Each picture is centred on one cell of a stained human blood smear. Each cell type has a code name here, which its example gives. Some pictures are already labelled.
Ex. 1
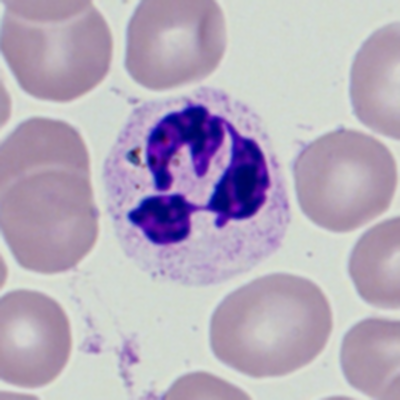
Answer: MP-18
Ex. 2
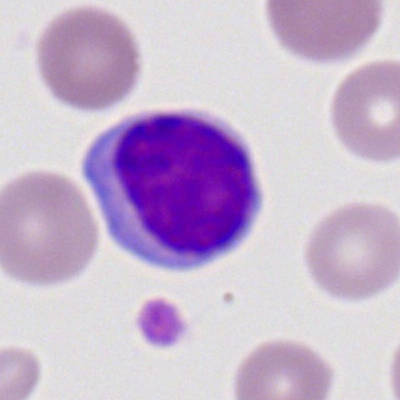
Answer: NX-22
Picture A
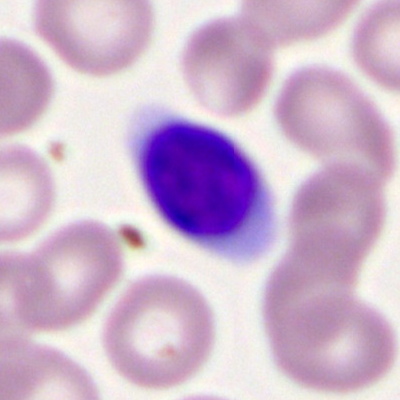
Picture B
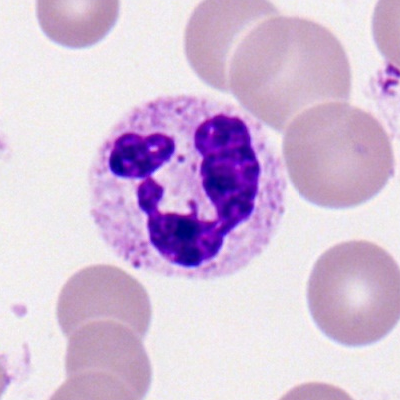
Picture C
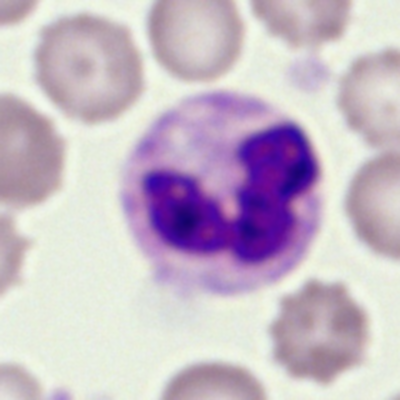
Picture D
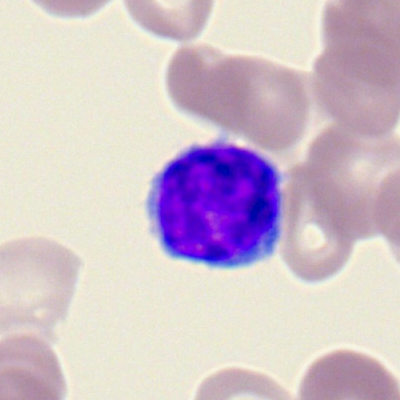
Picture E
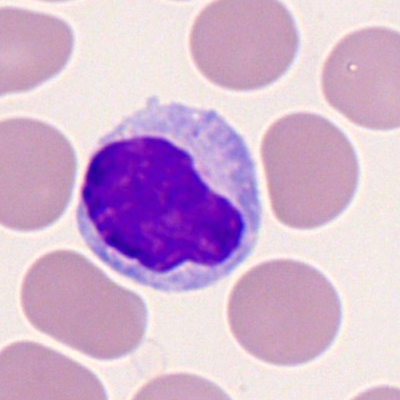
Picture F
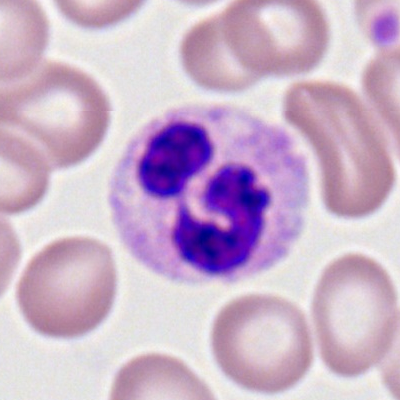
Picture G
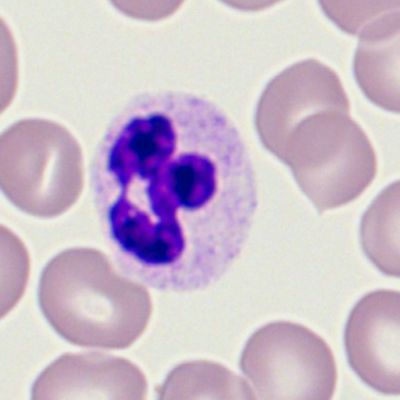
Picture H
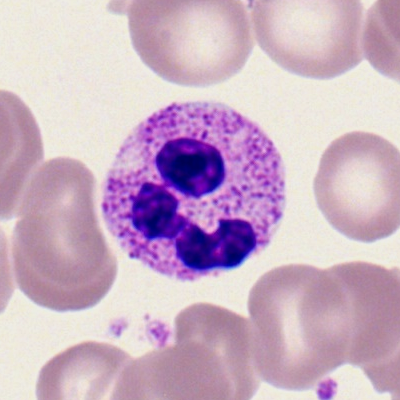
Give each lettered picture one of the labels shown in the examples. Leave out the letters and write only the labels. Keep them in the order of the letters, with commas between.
NX-22, MP-18, MP-18, NX-22, NX-22, MP-18, MP-18, MP-18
